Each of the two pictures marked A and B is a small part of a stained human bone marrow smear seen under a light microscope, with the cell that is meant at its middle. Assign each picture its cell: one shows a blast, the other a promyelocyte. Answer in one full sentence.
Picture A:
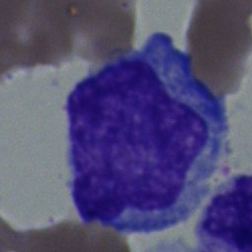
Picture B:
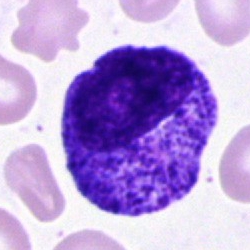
It is picture A that shows a blast, and picture B that shows a promyelocyte.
